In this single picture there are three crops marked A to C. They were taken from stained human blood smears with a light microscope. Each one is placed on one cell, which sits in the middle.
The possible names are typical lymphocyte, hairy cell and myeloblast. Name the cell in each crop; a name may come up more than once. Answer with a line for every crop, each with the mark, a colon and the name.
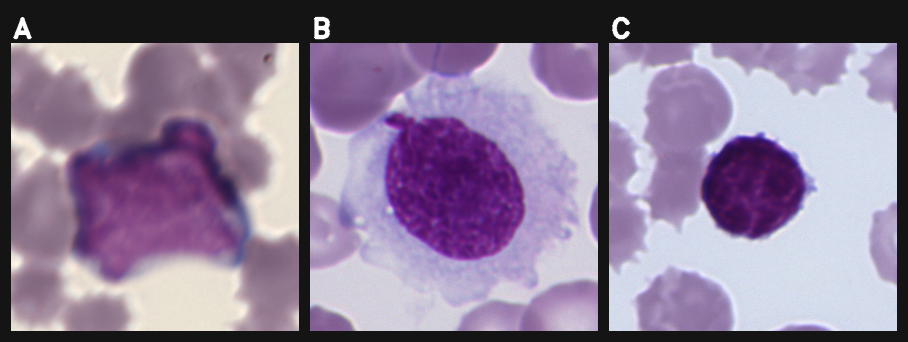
A: myeloblast
B: hairy cell
C: typical lymphocyte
